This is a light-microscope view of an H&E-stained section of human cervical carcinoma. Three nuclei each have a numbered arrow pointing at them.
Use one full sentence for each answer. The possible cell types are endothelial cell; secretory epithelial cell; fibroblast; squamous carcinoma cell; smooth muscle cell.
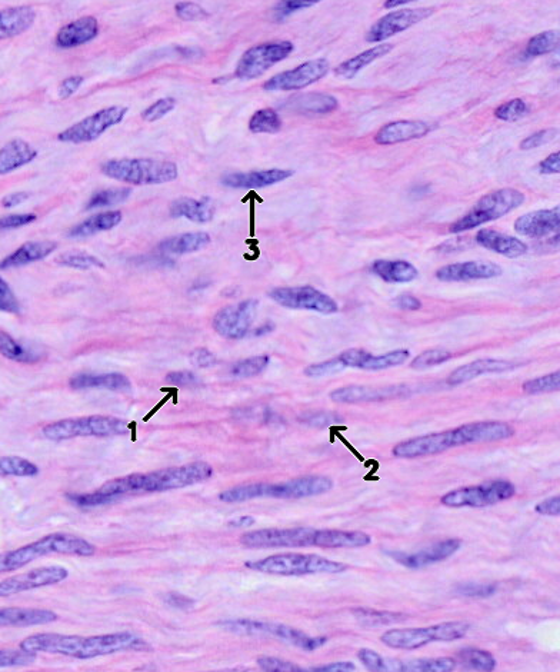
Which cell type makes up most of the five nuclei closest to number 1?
The majority of the five nuclei closest to number 1 belong to smooth muscle cells.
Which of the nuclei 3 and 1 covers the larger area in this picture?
It is nucleus 3, which covers about 1.5 times the area of nucleus 1.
